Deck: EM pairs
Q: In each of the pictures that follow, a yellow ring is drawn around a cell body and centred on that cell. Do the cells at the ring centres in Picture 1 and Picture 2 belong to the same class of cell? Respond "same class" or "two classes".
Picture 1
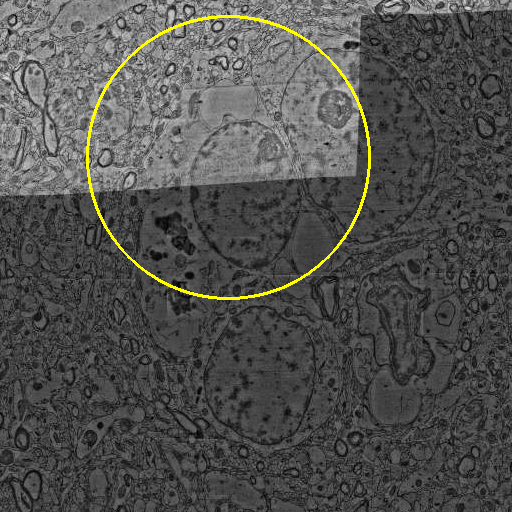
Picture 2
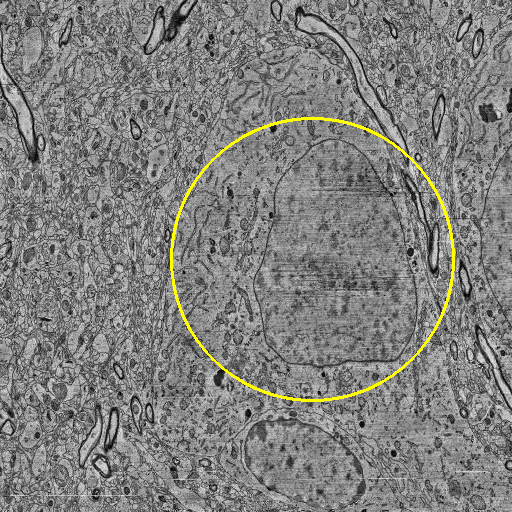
two classes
